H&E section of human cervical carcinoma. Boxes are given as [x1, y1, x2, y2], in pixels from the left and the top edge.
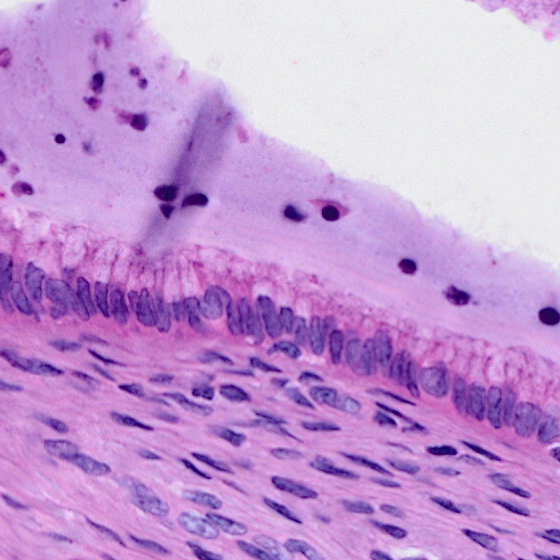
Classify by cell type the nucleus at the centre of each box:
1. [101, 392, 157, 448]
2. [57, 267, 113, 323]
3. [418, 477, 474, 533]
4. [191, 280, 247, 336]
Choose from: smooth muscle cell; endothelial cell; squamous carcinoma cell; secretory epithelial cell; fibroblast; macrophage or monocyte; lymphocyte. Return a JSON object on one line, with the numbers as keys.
{"1": "fibroblast", "2": "secretory epithelial cell", "3": "fibroblast", "4": "secretory epithelial cell"}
